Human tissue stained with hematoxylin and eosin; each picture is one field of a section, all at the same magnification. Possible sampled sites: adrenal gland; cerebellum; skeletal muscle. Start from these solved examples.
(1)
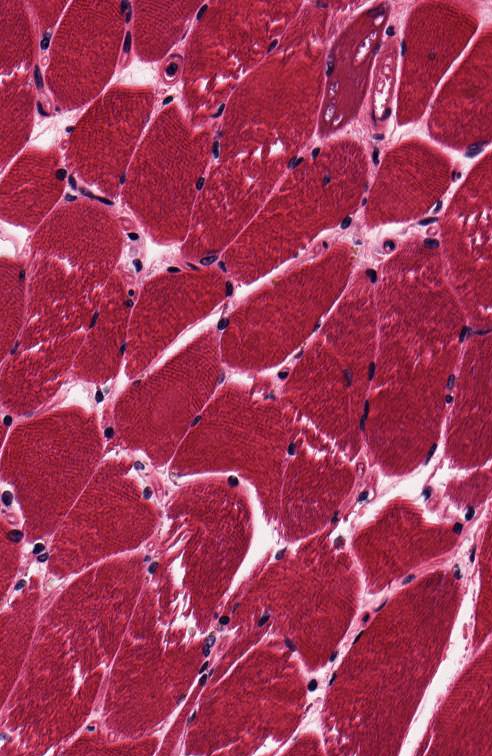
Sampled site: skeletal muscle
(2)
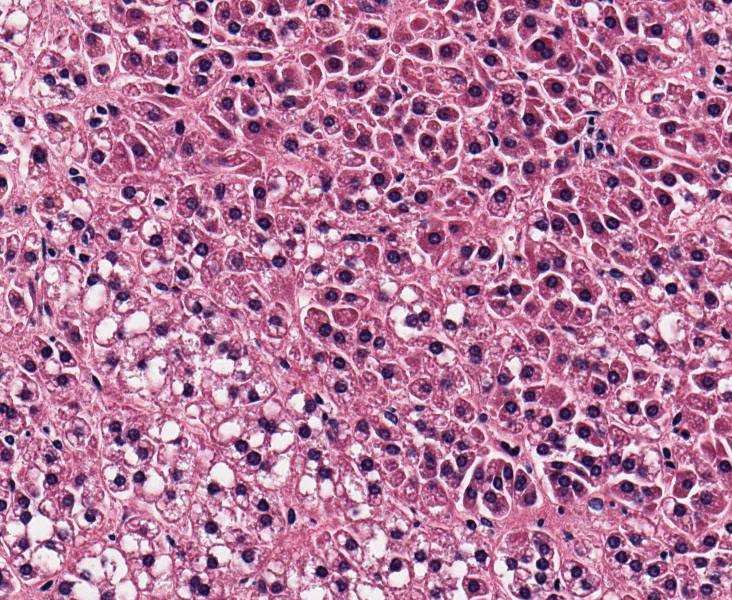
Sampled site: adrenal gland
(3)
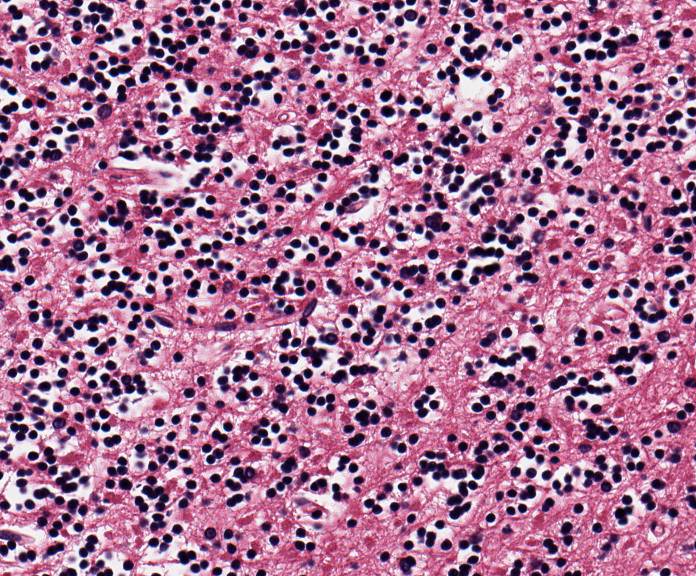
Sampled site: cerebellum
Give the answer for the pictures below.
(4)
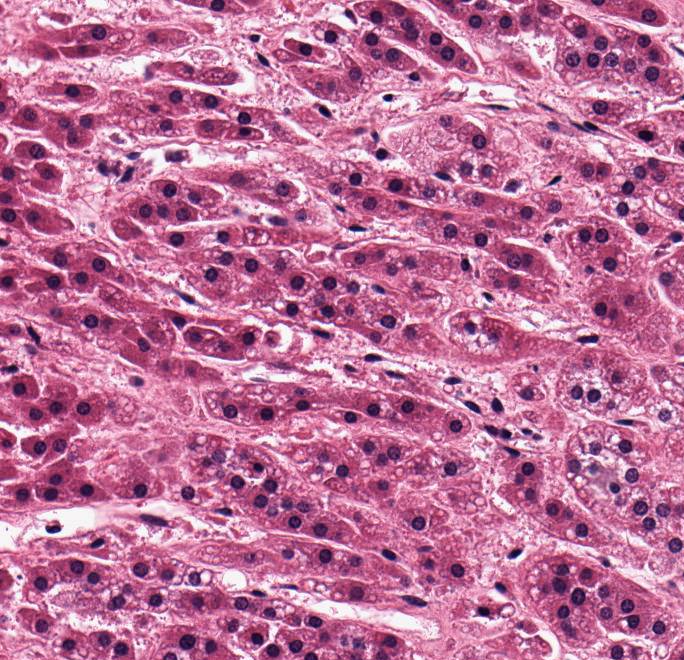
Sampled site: adrenal gland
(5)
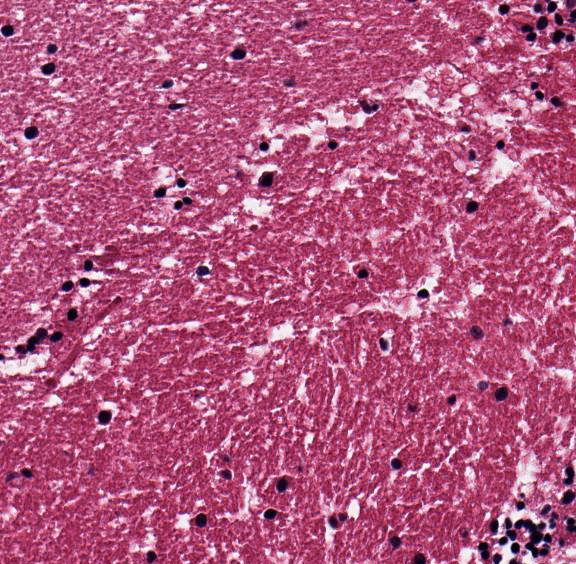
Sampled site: cerebellum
